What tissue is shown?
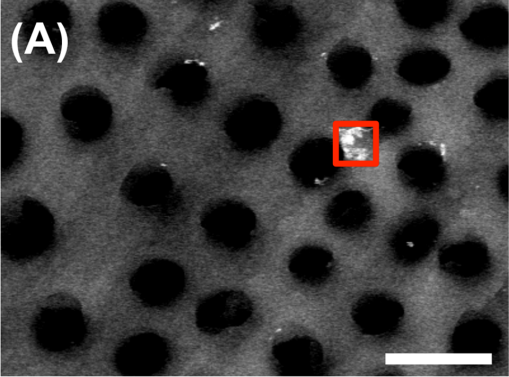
Dentin.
